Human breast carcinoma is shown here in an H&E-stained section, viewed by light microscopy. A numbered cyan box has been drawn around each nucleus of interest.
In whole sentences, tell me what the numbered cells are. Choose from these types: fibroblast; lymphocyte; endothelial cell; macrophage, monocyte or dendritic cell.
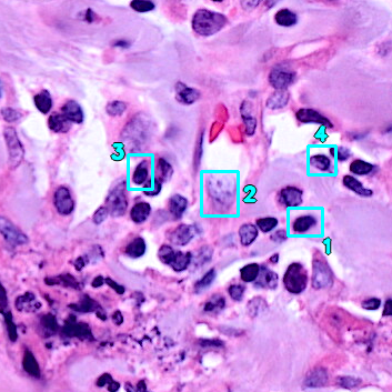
Cells 1, 3 and 4 are lymphocytes. Cell 2 is an endothelial cell.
